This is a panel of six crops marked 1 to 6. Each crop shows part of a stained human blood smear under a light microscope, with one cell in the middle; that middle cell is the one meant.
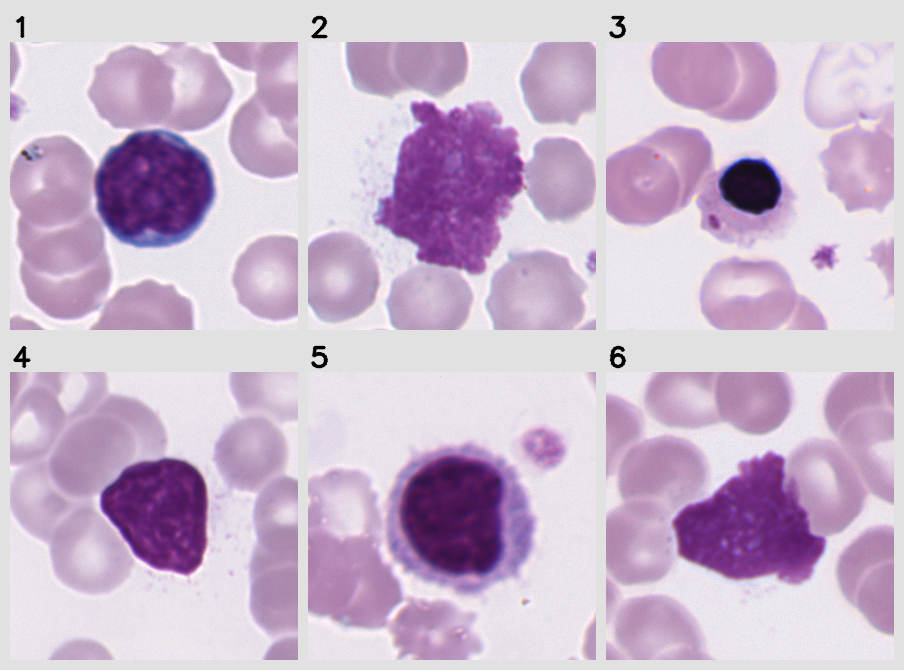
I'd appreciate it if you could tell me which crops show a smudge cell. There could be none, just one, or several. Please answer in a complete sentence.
Crops 2, 4 and 6 display smudge cells in the centre of the field.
